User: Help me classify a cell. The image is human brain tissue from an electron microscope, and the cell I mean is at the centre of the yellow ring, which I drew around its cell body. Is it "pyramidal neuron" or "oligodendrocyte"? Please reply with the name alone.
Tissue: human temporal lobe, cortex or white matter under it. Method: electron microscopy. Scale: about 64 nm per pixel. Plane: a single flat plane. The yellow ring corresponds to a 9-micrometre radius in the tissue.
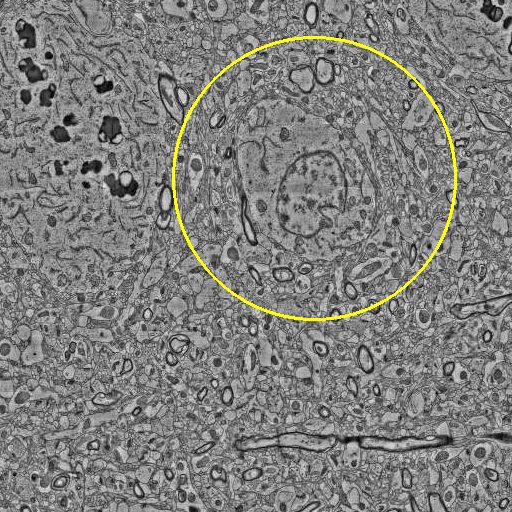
pyramidal neuron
